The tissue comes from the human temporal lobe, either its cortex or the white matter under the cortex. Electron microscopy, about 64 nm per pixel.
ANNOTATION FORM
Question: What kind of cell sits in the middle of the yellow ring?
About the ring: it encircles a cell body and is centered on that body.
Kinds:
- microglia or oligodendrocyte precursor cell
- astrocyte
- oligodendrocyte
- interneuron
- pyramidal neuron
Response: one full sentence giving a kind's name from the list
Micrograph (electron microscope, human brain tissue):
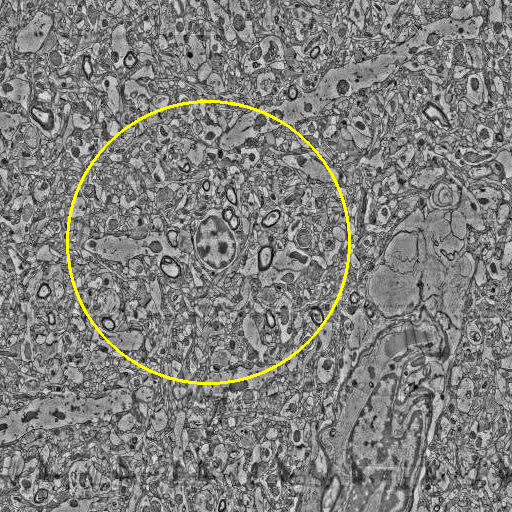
The kind of cell found at the center of the yellow ring in the micrograph is a microglial cell or oligodendrocyte precursor cell.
